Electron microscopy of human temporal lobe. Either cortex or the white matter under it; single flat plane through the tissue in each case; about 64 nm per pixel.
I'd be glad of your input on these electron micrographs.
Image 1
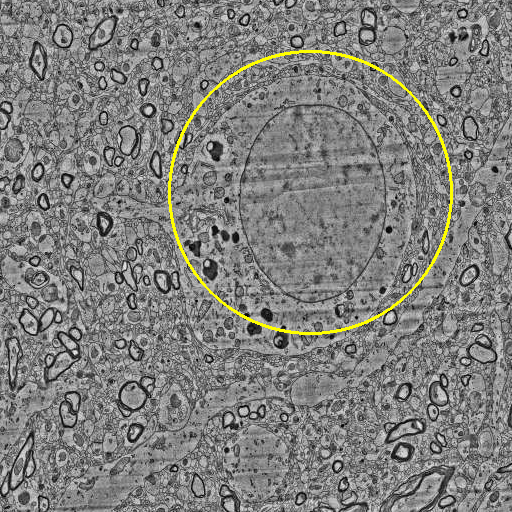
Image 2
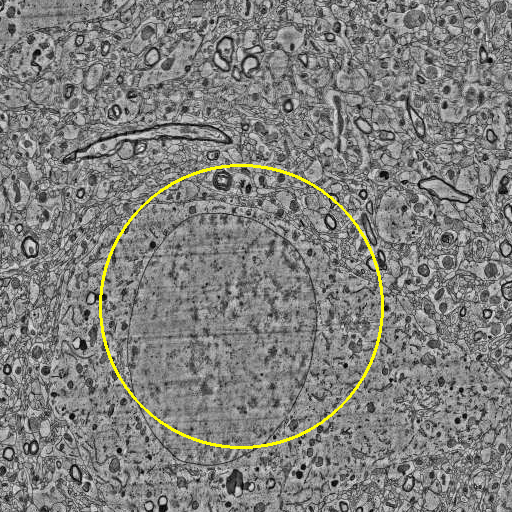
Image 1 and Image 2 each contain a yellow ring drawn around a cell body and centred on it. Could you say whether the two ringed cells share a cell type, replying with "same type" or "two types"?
same type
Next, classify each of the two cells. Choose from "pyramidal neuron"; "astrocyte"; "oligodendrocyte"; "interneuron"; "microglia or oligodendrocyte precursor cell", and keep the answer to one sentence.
The ring centre holds a pyramidal neuron in each of the two pictures.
